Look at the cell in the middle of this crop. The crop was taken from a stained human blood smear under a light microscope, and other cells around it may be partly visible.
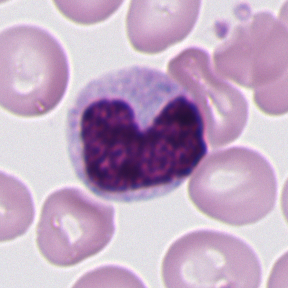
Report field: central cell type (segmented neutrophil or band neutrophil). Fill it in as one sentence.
The identification for the central cell is a band neutrophil.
